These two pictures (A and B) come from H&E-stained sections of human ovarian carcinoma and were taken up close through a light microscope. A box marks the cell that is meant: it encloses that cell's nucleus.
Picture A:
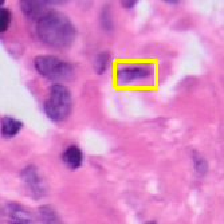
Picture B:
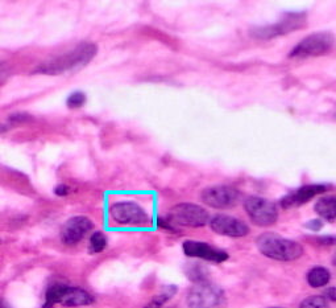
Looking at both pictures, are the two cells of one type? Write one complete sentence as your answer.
No, the types are not the same, since picture A shows a fibroblast and picture B a “macrophage or monocyte”.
